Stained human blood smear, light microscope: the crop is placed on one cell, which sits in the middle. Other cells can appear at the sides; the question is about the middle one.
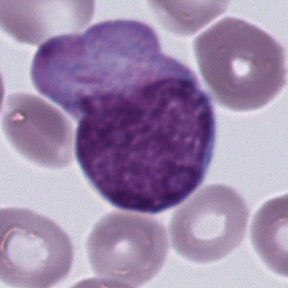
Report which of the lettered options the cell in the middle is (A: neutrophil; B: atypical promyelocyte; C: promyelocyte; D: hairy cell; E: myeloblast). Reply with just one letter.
B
